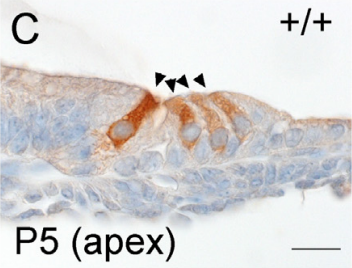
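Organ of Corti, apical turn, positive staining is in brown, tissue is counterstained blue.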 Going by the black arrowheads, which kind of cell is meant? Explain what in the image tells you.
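The arrowheads point to a row of brown-stained, flask-shaped cells at the epithelial surface. The marked cells sit in a sensory epithelium above a layer of supporting cells.
Conclusion: Cochlear hair cells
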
